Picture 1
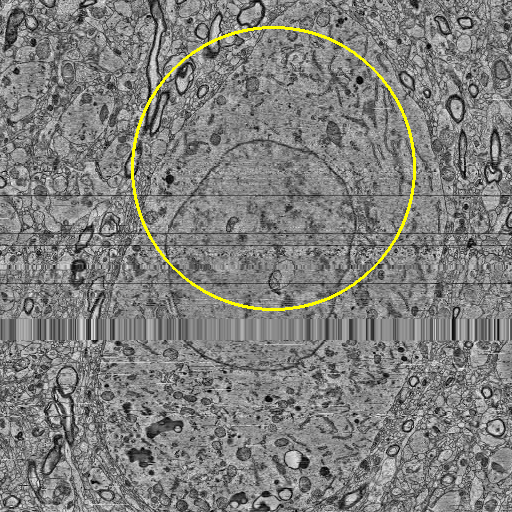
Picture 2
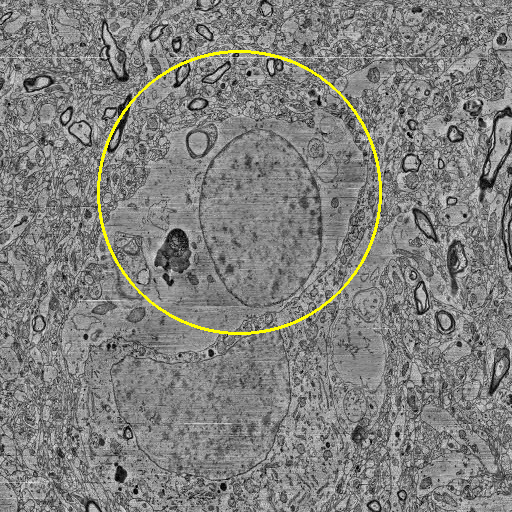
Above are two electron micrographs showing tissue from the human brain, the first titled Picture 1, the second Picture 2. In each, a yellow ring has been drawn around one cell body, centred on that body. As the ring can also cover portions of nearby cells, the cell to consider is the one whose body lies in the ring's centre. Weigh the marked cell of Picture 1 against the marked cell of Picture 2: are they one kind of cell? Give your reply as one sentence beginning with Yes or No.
No, the two cells sitting at the ring centres in the pictures are of two kinds.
